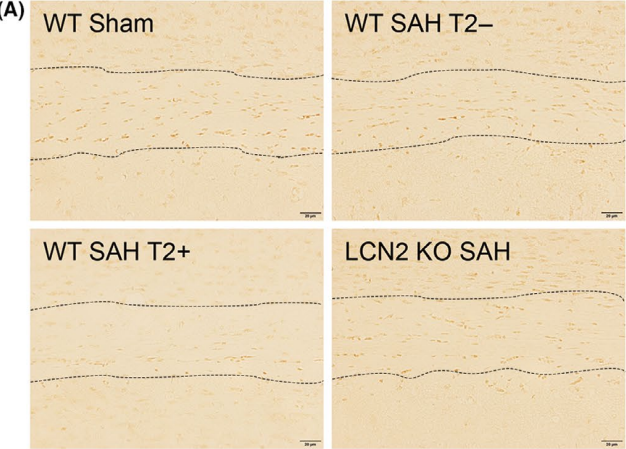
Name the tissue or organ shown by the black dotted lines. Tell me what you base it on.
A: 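Each dotted-line pair encloses a band of tissue running straight across the image. Within the band, small elongated cells lie in rows parallel to the band's long axis. The answer: white matter.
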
